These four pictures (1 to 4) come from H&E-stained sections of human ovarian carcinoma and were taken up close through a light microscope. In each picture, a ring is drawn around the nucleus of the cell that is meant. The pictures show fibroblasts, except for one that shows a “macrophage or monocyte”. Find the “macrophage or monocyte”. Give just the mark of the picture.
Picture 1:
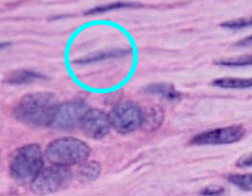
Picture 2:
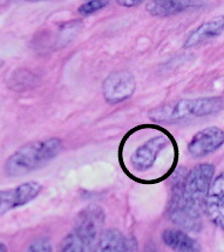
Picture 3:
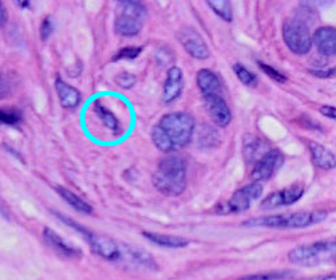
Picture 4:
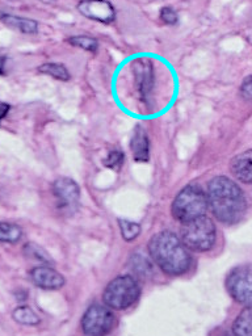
2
